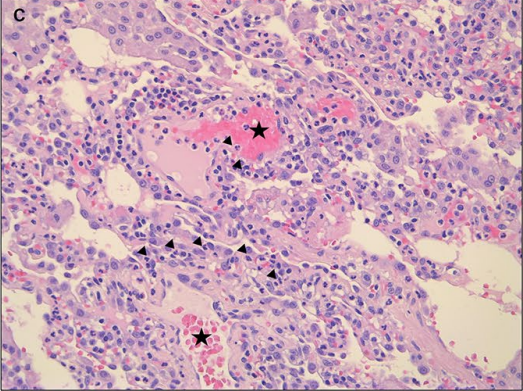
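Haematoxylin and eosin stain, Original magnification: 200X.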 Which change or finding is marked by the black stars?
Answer: alveolar hemorrage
